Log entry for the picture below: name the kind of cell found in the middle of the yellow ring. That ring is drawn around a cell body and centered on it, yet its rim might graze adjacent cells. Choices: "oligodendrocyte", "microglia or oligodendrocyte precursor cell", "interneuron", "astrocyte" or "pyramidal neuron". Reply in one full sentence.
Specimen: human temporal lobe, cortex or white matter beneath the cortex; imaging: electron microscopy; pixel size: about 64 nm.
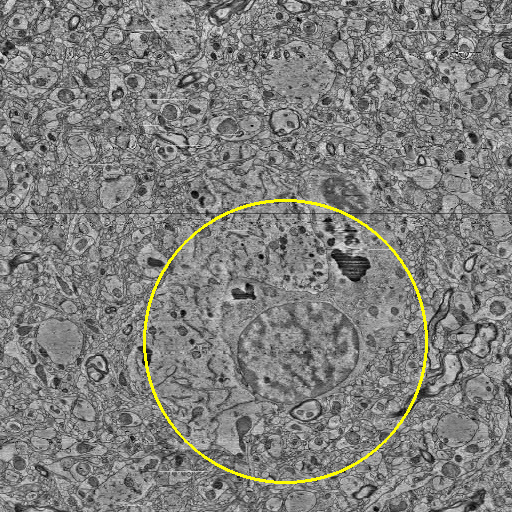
The cell in the middle of the yellow ring in this picture is an oligodendrocyte.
